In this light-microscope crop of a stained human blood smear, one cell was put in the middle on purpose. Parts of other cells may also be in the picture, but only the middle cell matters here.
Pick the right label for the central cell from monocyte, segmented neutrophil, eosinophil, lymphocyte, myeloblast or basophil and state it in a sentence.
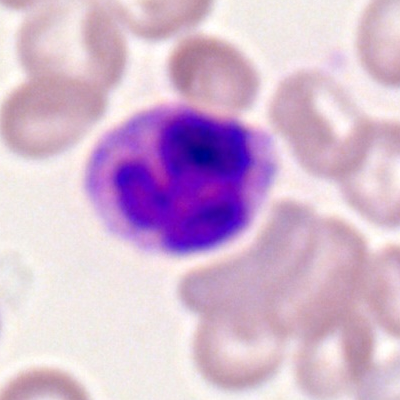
The cell at the middle of the crop is recognized as a basophil.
